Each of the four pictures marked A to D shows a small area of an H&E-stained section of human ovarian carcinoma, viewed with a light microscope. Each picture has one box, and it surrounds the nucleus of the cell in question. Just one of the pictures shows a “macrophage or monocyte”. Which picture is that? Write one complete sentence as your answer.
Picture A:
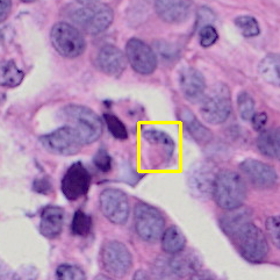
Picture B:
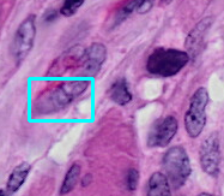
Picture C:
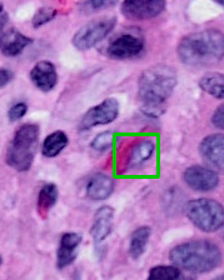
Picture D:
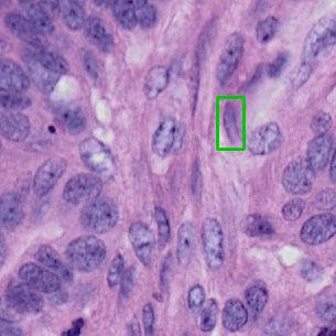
The cell in picture A is the “macrophage or monocyte”.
